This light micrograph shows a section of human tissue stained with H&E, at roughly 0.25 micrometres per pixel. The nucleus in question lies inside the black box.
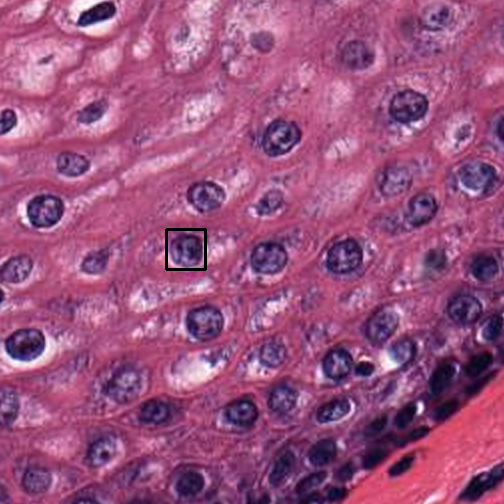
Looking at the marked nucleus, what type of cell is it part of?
squamous epithelial cell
